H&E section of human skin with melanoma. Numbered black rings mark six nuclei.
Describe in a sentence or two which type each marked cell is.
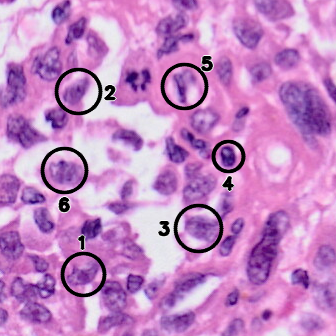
Cell 1 is a melanoma cell, cell 2 is a melanoma cell, cell 3 is a melanoma cell, cell 4 is a lymphocyte, cell 5 is an endothelial cell and cell 6 is a melanoma cell.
